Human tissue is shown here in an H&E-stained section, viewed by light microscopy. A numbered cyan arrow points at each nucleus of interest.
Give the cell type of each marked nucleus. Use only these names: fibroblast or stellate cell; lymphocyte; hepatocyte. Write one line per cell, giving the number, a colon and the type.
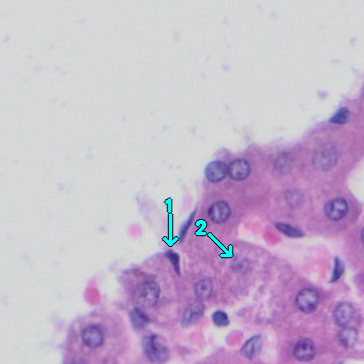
1: fibroblast or stellate cell
2: hepatocyte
